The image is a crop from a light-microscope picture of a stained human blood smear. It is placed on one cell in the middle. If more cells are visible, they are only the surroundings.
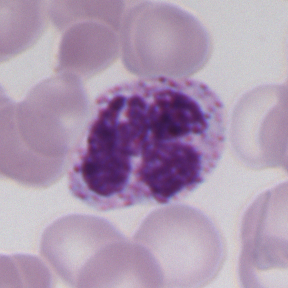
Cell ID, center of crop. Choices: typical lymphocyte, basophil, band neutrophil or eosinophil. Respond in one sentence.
By classification, the middle cell of this crop is a basophil.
